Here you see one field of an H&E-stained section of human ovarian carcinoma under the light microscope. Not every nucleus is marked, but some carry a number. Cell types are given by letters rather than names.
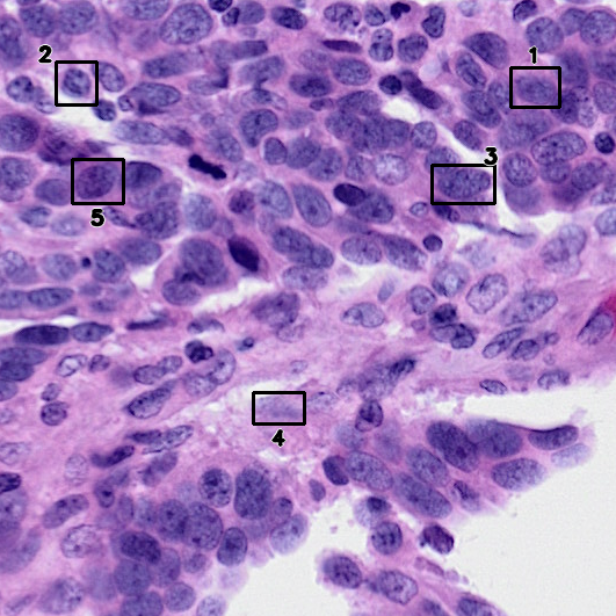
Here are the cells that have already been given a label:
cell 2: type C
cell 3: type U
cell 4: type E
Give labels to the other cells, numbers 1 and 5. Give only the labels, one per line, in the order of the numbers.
type U
type U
